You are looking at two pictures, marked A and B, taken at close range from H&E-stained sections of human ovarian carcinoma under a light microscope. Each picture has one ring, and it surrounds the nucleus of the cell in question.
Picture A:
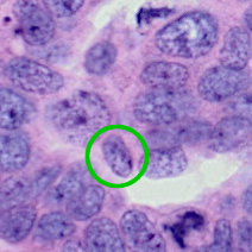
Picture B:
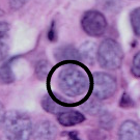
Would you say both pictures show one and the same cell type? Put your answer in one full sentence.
No. Picture A shows a “macrophage or monocyte”, but picture B shows a carcinoma cell.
